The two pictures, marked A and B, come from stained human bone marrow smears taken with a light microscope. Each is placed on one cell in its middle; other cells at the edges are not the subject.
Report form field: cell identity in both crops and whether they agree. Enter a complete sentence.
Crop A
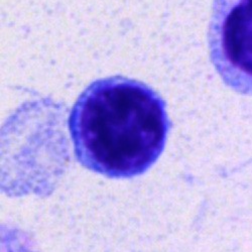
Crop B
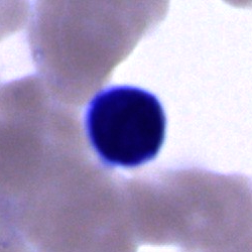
Yes, the cells at the centres of the two crops are lymphocytes.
